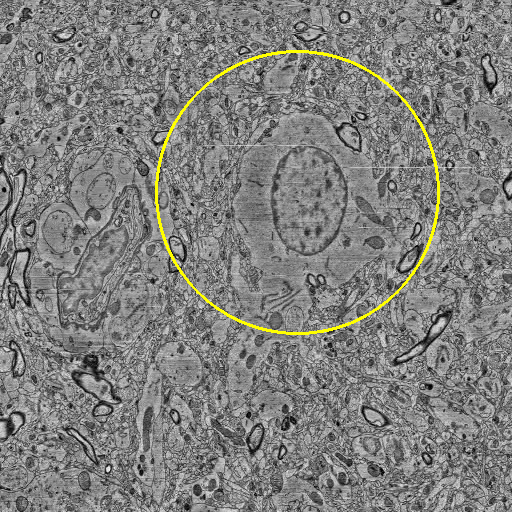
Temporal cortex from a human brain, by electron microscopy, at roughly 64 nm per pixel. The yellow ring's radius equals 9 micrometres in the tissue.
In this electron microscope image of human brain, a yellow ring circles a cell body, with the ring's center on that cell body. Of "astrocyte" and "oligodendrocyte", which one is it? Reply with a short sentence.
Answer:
It is an astrocyte at the center of the ring.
